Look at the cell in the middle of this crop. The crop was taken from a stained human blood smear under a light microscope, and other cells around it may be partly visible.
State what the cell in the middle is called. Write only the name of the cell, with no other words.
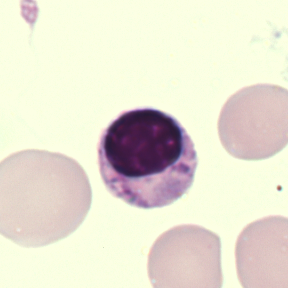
erythroblast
